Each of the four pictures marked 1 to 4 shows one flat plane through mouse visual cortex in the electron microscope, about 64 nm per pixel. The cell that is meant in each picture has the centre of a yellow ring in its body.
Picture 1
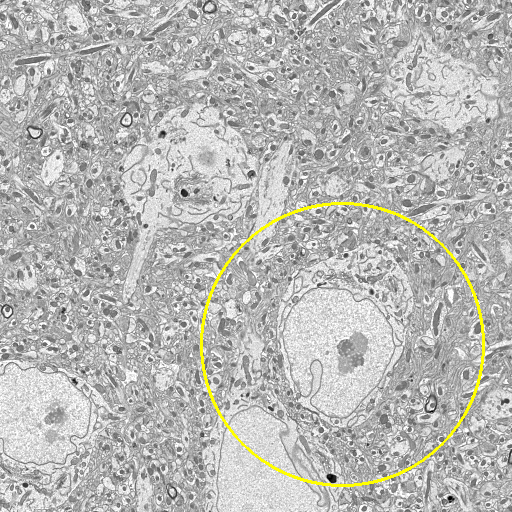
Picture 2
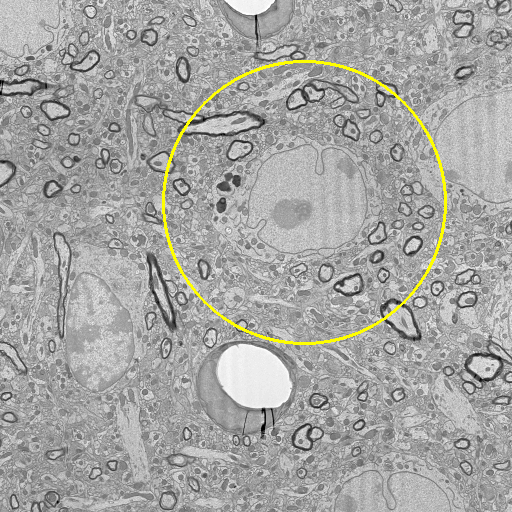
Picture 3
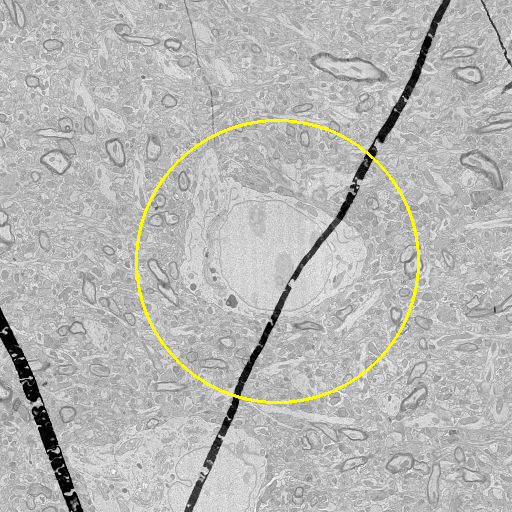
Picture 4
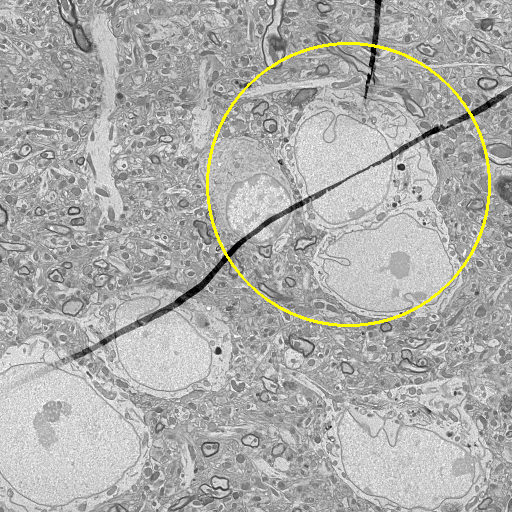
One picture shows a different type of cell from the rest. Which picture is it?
The different one is picture 1; it shows an inhibitory neuron, whereas all the others show excitatory neurons.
